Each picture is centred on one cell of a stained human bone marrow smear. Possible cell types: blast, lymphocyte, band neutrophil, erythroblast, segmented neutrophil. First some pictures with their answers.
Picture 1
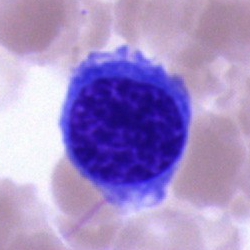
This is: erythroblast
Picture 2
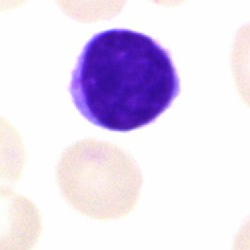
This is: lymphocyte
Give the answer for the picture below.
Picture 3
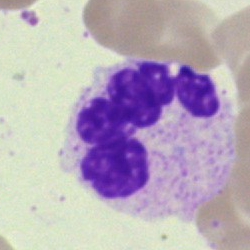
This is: segmented neutrophil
